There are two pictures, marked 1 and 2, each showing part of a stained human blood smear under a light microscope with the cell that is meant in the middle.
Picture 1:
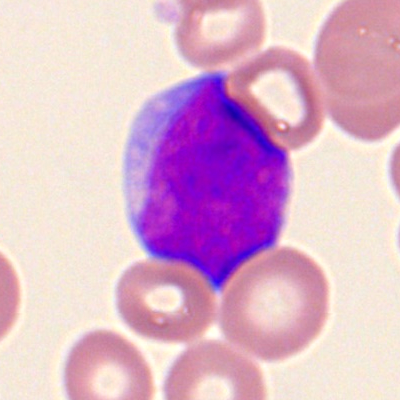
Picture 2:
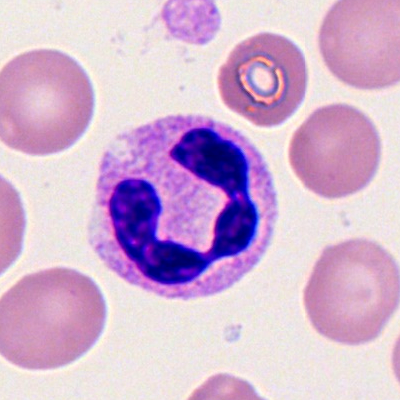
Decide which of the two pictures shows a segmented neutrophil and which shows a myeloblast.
1: myeloblast
2: segmented neutrophil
